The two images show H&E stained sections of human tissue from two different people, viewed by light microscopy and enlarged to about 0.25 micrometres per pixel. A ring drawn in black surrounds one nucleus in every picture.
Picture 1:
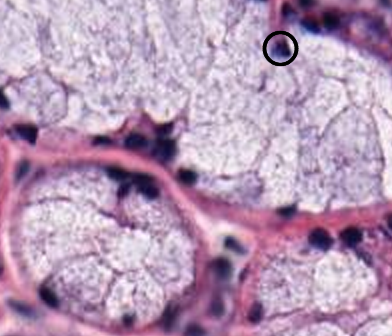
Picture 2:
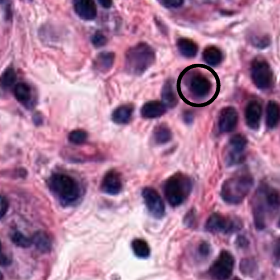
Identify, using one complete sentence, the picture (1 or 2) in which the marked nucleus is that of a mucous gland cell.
Nowhere but in picture 1 does the marked nucleus belong to a mucous gland cell.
